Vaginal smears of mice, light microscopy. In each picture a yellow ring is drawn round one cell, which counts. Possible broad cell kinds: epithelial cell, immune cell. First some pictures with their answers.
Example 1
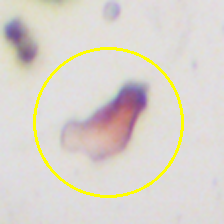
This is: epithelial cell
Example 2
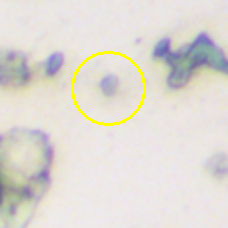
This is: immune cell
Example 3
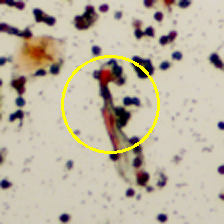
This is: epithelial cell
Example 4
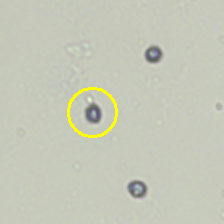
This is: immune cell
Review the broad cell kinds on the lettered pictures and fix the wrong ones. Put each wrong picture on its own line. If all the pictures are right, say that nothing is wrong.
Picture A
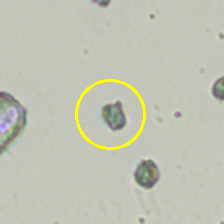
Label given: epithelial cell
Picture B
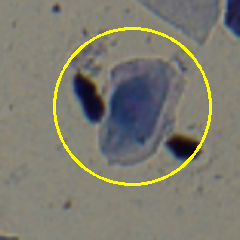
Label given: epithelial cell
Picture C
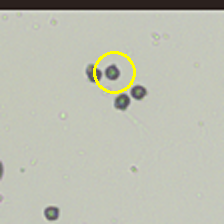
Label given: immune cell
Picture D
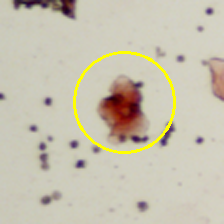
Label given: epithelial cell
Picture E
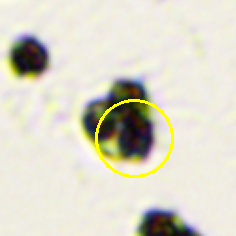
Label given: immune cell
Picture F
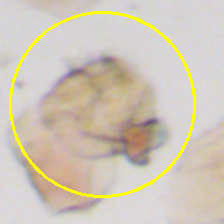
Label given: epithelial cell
A is labelled epithelial cell; correct label: immune cell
